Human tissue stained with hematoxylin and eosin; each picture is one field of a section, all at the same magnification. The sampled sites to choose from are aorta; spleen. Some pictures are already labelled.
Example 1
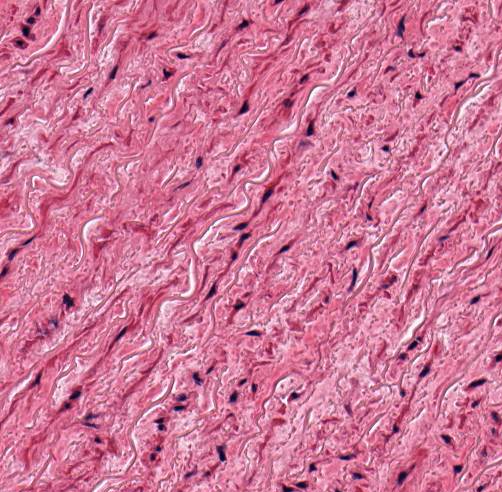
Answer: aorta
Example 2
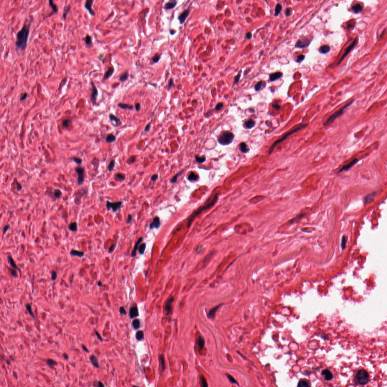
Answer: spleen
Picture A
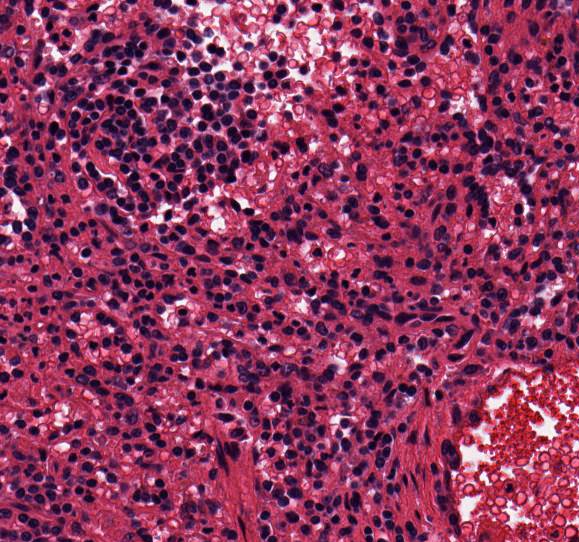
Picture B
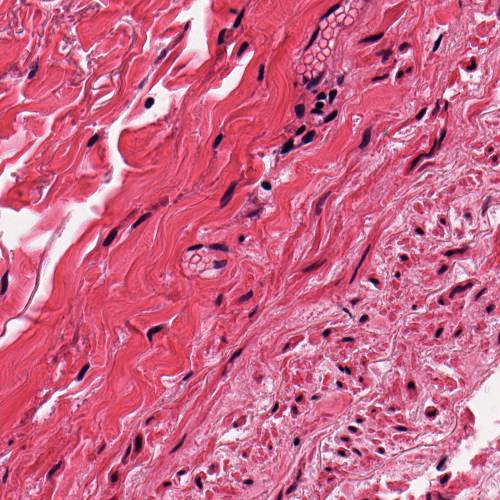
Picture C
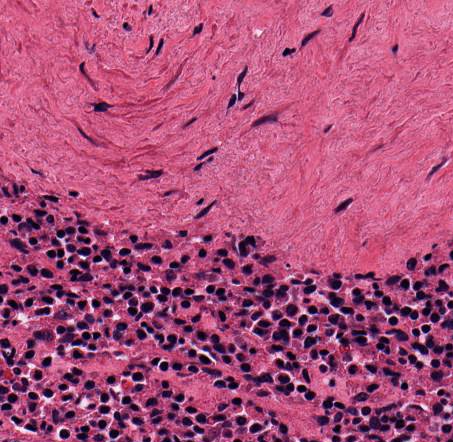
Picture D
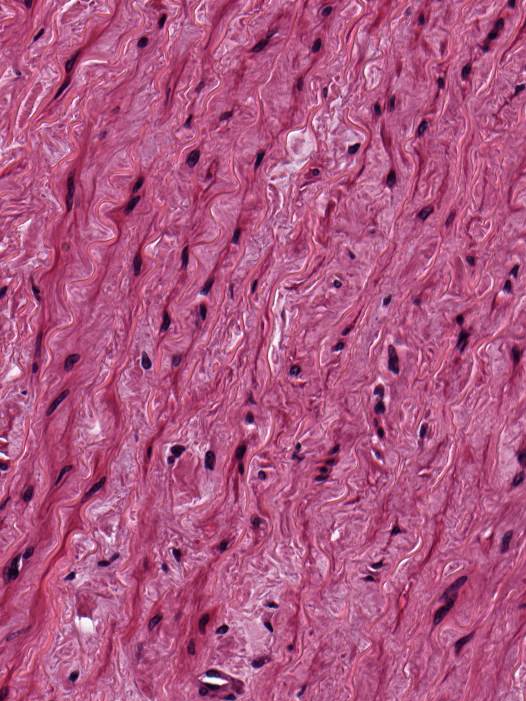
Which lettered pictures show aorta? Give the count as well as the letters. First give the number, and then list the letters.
Count: 2 (B, D)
